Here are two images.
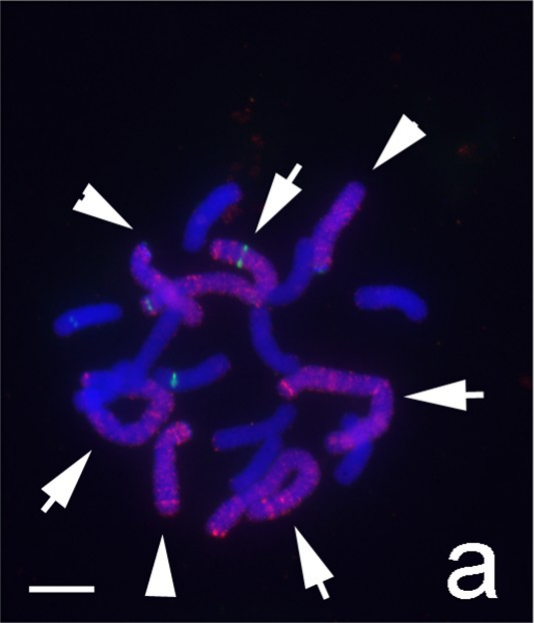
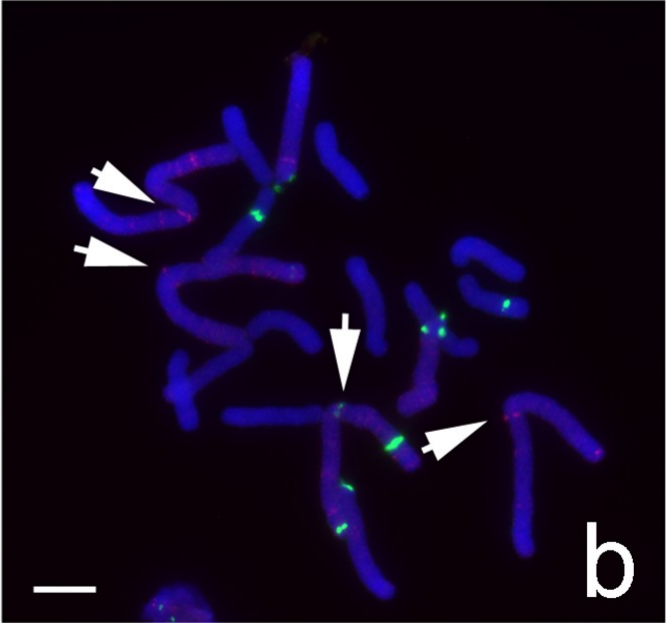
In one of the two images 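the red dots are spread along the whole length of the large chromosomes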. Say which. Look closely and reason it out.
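First image: fine red dots cover most of the length of the large chromosomes. On this evidence: the first image.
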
